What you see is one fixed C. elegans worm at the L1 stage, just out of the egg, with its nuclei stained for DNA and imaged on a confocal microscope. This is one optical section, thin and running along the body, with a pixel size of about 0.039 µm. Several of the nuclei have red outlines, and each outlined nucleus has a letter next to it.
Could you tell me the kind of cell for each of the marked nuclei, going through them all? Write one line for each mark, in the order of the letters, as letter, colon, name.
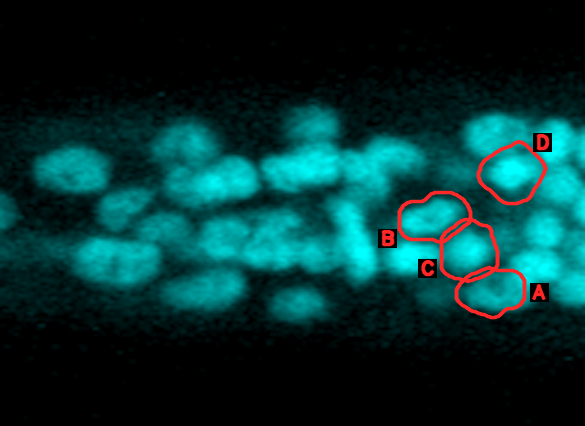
A: body wall muscle cell
B: pharyngeal muscle cell
C: neuron
D: glial cell (sheath or socket)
